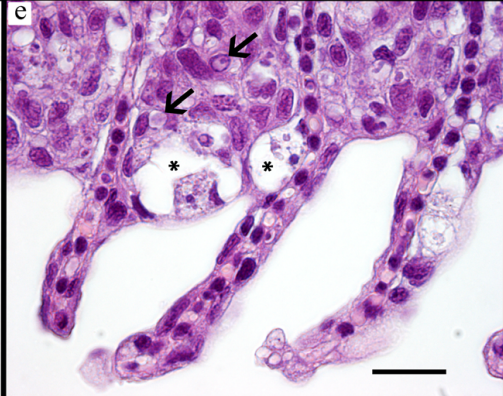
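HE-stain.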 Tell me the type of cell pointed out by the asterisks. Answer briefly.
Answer: Swollen necrotic cells.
